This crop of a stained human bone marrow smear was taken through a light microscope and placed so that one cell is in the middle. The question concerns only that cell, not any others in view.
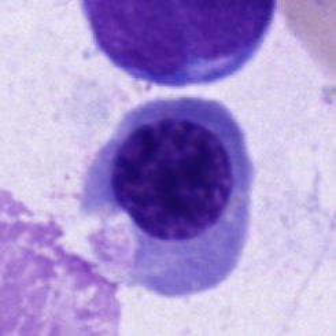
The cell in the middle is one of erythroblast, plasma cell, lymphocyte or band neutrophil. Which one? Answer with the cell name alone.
erythroblast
